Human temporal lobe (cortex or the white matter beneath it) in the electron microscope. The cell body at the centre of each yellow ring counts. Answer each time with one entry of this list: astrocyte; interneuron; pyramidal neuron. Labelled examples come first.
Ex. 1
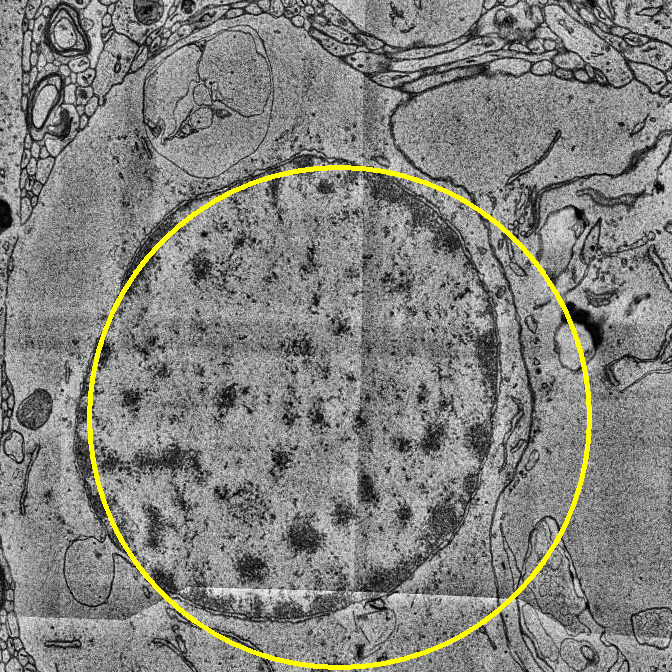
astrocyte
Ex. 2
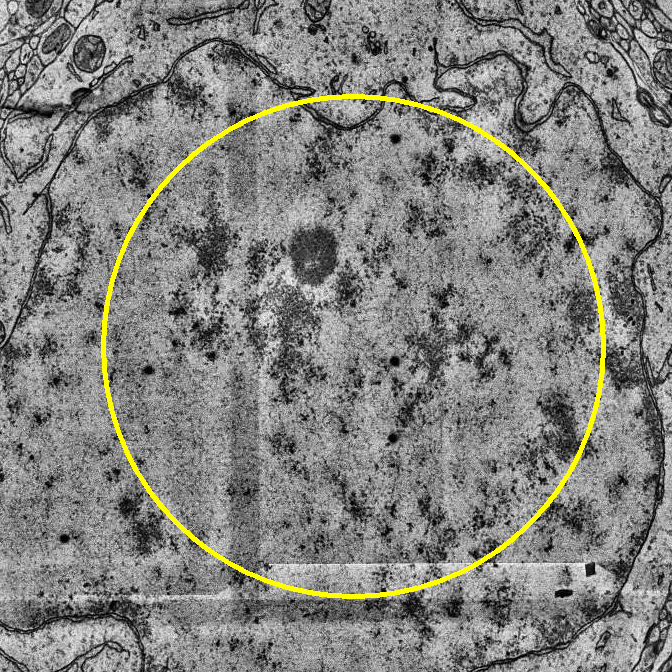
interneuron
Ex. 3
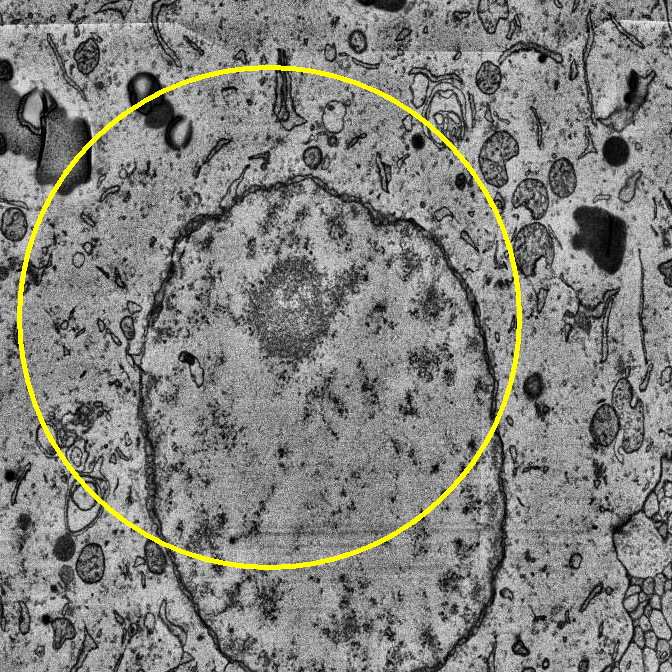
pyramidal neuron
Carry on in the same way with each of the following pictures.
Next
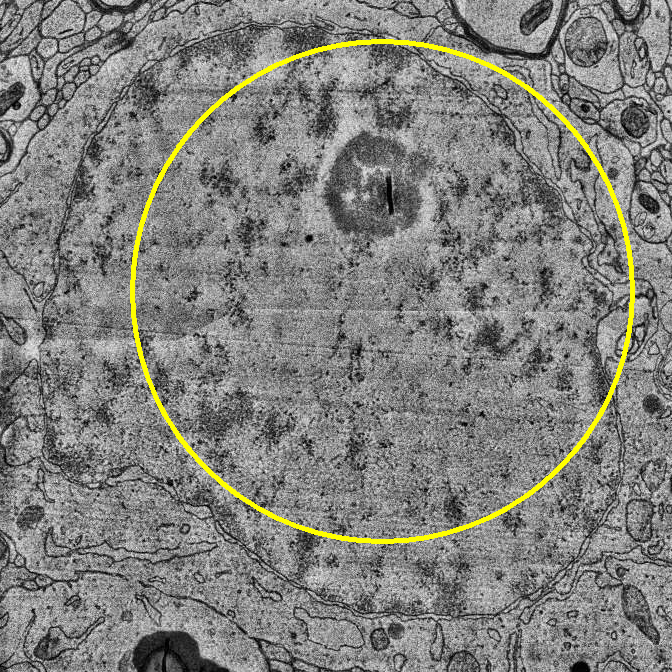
interneuron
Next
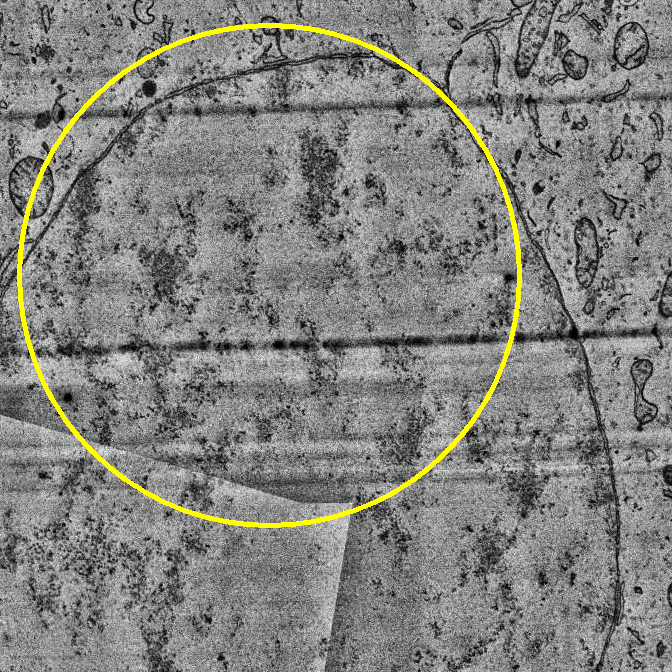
pyramidal neuron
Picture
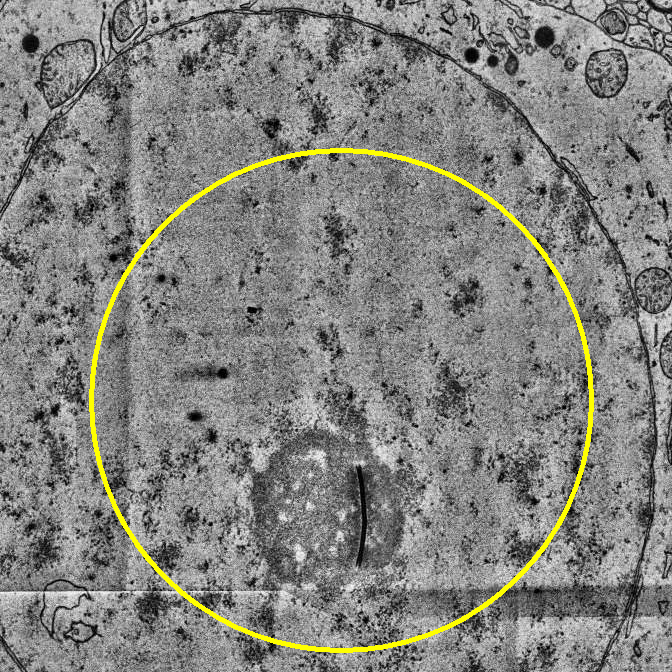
pyramidal neuron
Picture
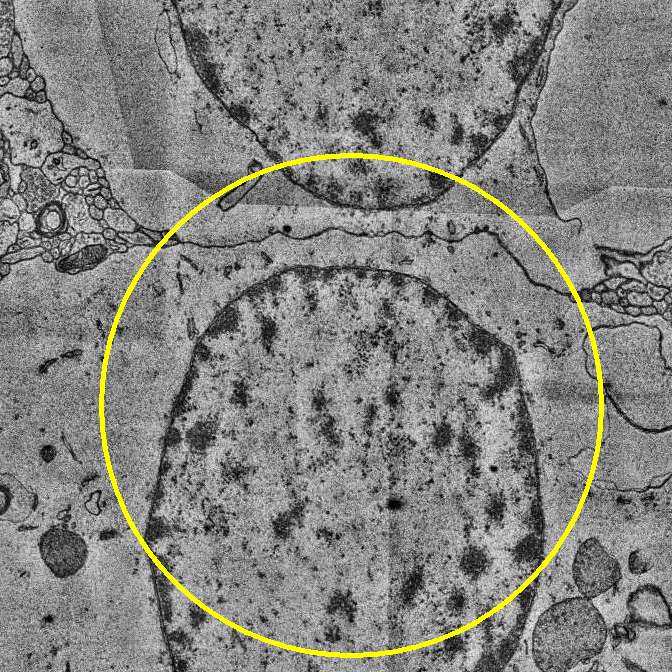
astrocyte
